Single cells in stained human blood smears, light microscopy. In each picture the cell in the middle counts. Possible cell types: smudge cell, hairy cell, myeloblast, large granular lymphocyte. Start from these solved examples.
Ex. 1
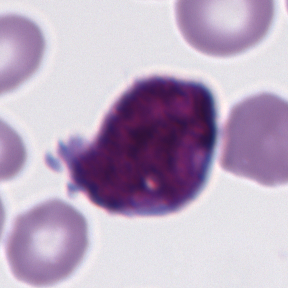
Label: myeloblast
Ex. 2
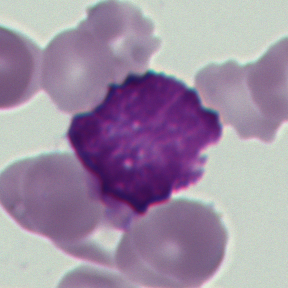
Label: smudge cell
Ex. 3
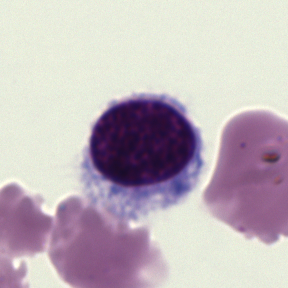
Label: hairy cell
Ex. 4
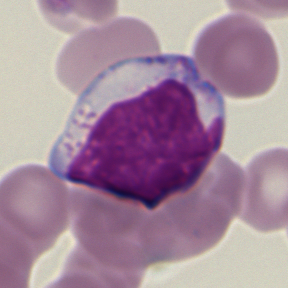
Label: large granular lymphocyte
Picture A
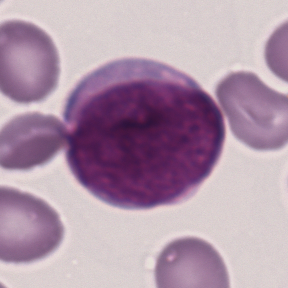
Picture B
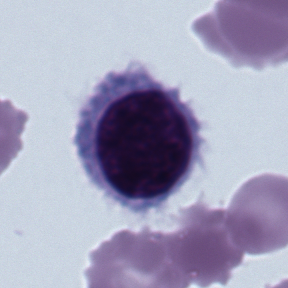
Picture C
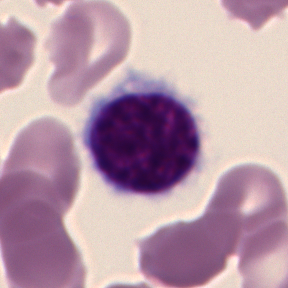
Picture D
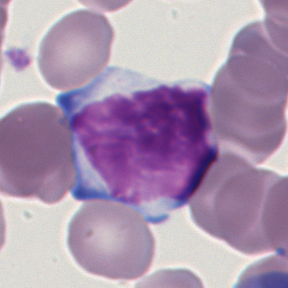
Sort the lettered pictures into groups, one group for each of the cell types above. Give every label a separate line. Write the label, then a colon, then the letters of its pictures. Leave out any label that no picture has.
hairy cell: B, C
myeloblast: A, D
